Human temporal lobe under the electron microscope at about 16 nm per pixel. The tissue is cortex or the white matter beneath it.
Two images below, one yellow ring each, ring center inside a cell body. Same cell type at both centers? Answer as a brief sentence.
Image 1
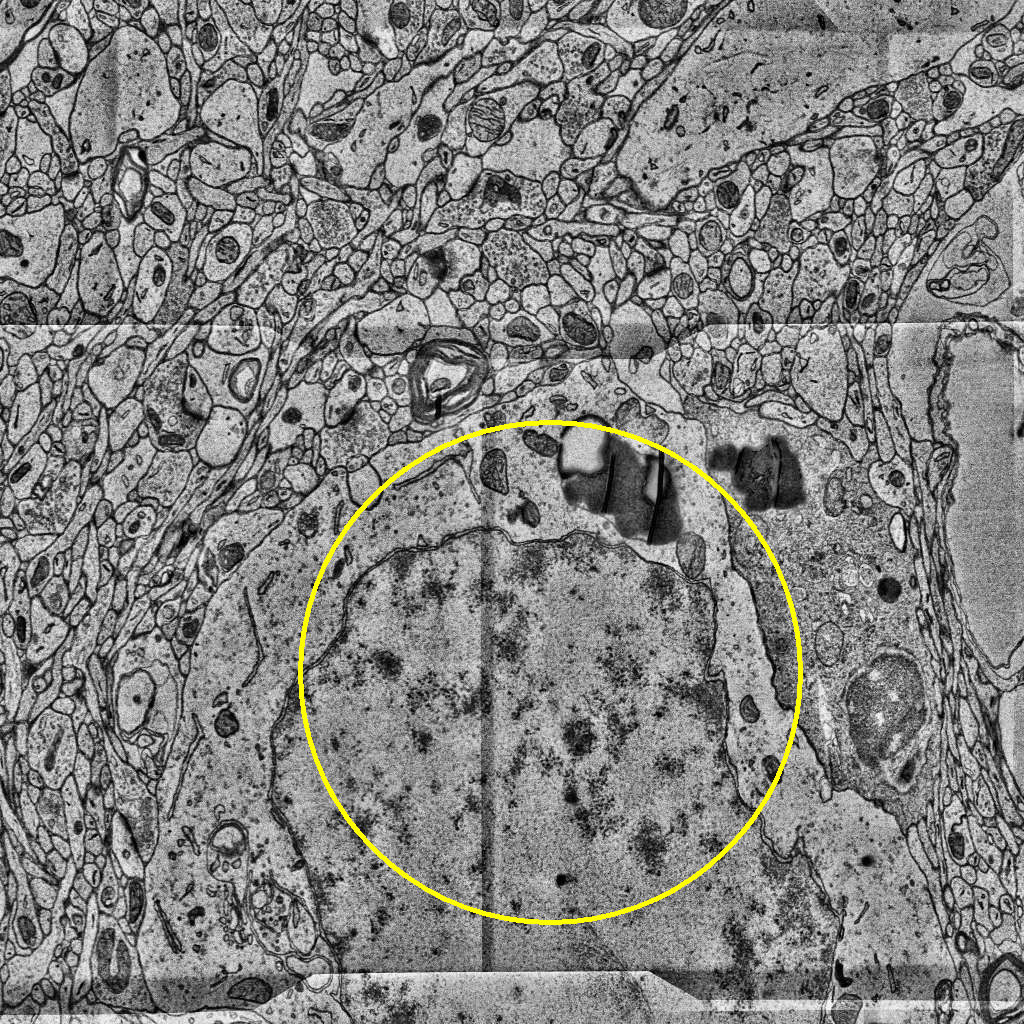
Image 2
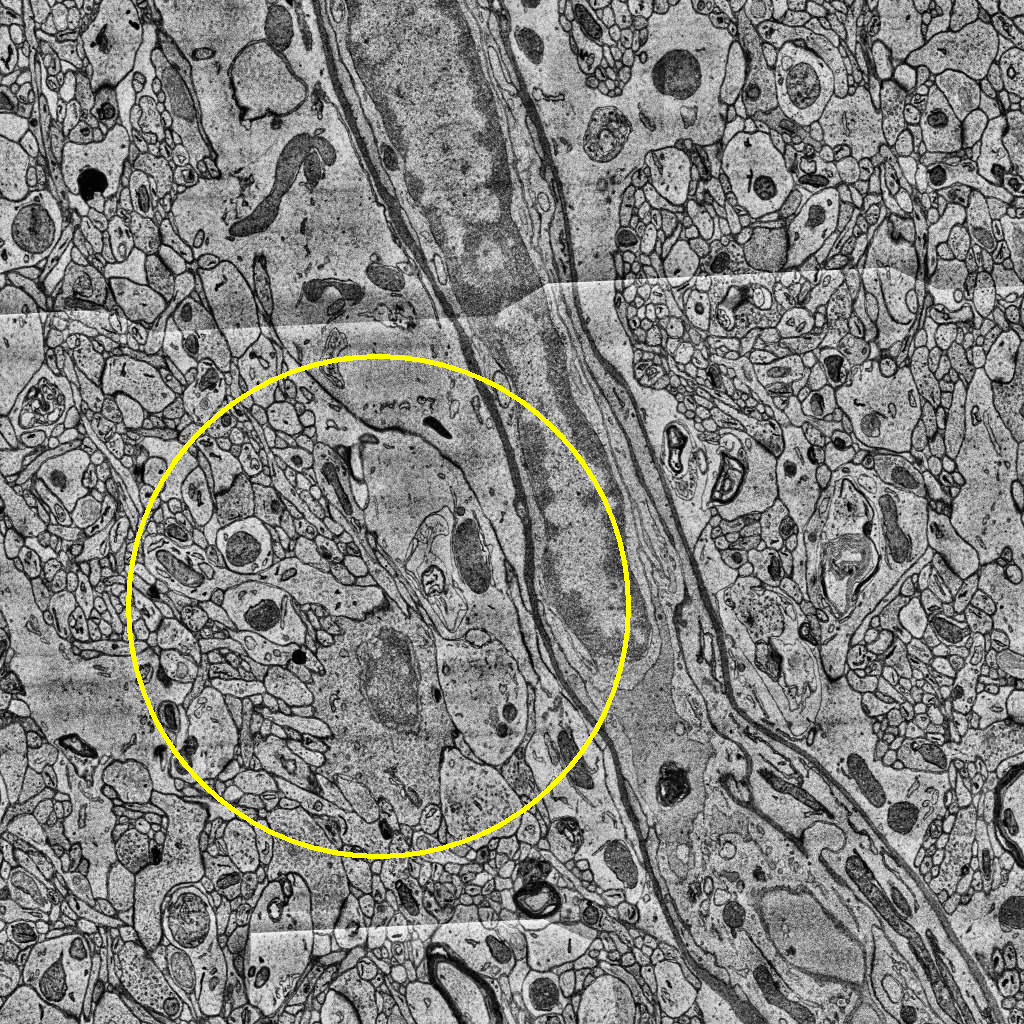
No, the cells are of two separate types.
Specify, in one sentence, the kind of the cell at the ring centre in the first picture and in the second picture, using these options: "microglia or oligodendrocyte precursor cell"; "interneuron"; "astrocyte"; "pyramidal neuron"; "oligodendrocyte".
The second picture holds an oligodendrocyte in its ring, and the first holds an interneuron.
